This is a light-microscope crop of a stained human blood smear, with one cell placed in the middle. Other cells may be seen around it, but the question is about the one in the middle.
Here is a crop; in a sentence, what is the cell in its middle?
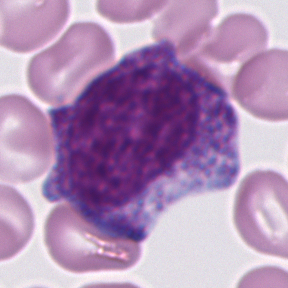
The cell that lies at the centre of the crop is a promyelocyte.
